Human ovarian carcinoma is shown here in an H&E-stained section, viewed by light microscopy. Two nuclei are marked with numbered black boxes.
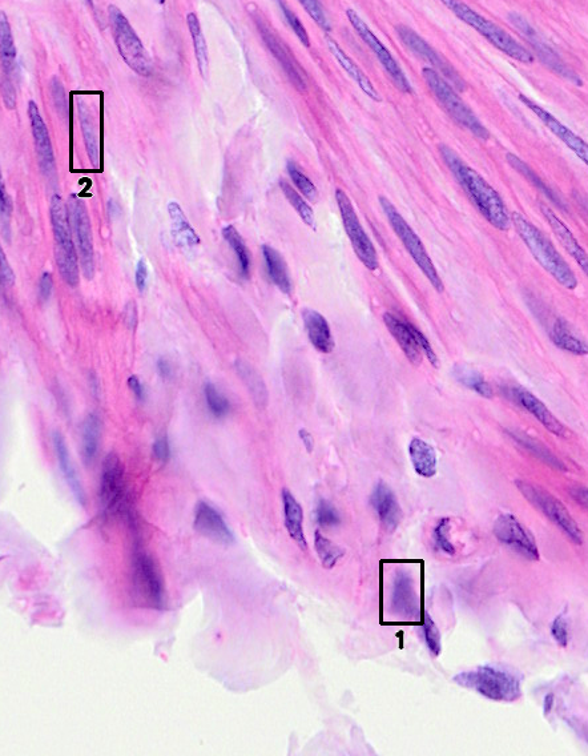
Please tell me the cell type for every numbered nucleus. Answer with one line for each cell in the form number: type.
1: fibroblast
2: smooth muscle cell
